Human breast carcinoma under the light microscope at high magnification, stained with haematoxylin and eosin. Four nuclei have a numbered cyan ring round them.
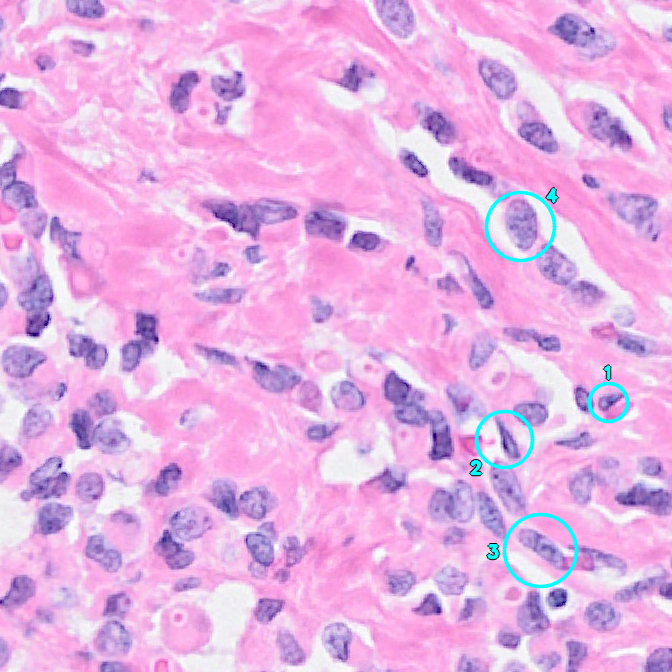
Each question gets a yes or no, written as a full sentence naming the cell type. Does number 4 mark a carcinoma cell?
Yes, the cell with the mark numbered 4 is a carcinoma cell.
